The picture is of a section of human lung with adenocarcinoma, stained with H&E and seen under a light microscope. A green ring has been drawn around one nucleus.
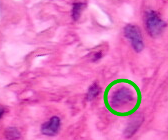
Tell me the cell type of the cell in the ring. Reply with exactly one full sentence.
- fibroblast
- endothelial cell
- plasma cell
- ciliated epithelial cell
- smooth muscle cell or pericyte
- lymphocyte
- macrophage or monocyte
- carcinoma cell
The correct response here is that the cell in the ring is a smooth muscle cell or pericyte.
